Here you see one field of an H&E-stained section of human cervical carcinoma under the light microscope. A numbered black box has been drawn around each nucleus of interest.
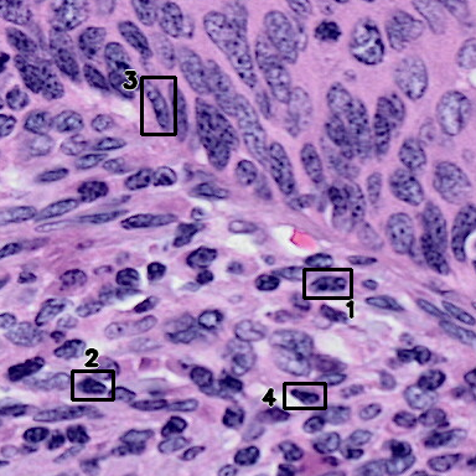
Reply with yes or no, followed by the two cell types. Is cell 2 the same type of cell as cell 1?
Yes, by cell type, cells 2 and 1 are both lymphocytes.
